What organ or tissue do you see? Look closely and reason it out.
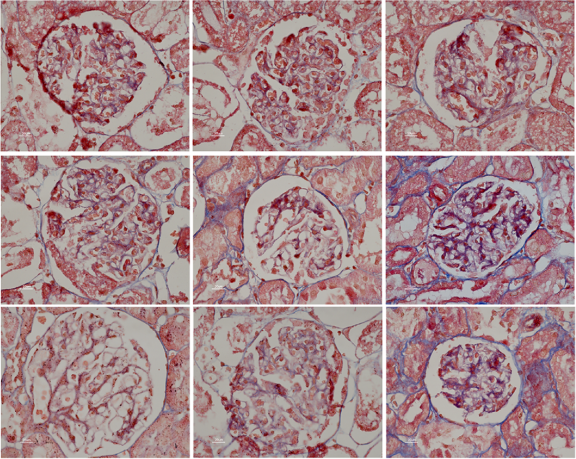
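Kidney tissue. Each frame shows a round capillary tuft within a capsule. Tubular profiles with red-staining epithelium lie around it.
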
